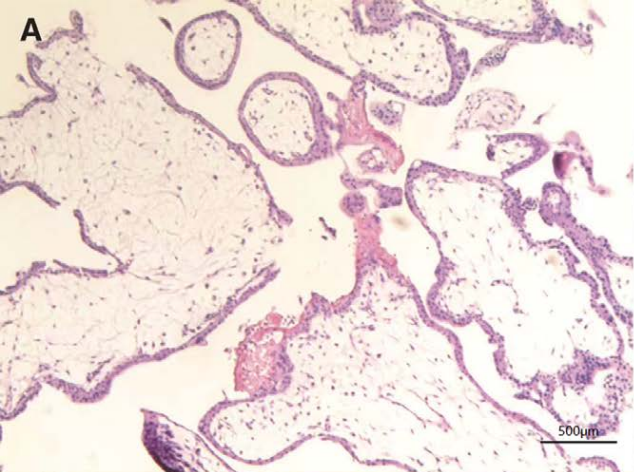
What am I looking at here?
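This low-power view shows numerous large chorionic villi with irregular, scalloped outlines. Their stroma is pale, loose and watery, holding only sparse, widely spaced spindle and stellate stromal cells. Each villus is covered by a thin, purple-staining trophoblast layer. Pink, blood-like material lies in the spaces between some villi.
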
